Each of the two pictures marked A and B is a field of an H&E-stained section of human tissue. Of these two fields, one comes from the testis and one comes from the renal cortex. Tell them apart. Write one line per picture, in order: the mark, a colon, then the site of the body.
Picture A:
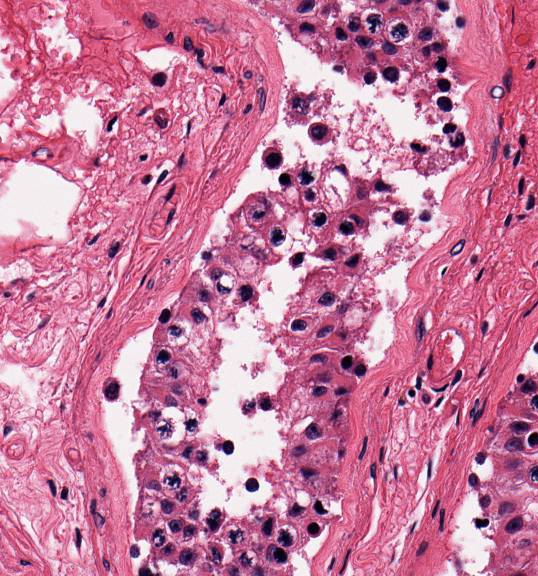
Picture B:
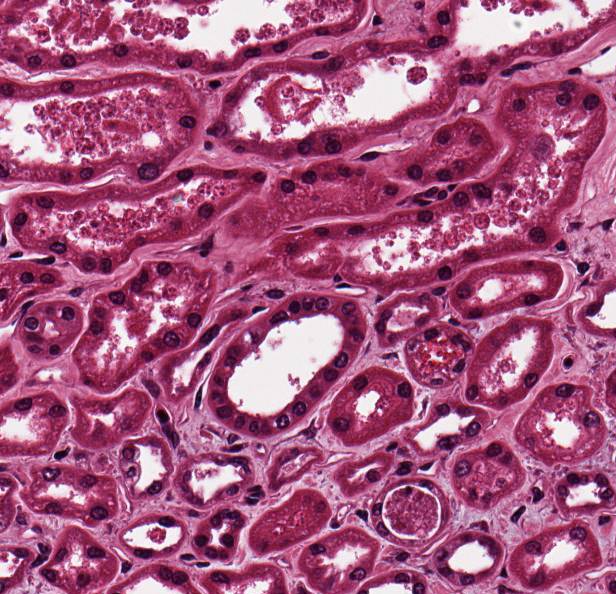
A: testis
B: renal cortex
